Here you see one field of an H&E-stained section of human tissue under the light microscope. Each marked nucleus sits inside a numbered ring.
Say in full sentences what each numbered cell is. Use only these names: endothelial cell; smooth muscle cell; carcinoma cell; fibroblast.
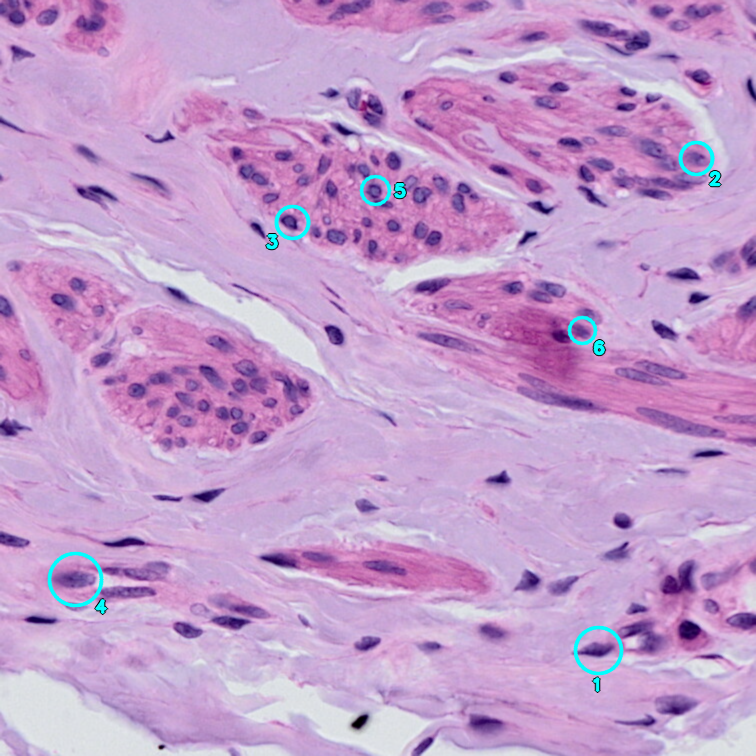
Cell 1 is a fibroblast. Cells 2, 3, 5 and 6 are smooth muscle cells. Cell 4 is an endothelial cell.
